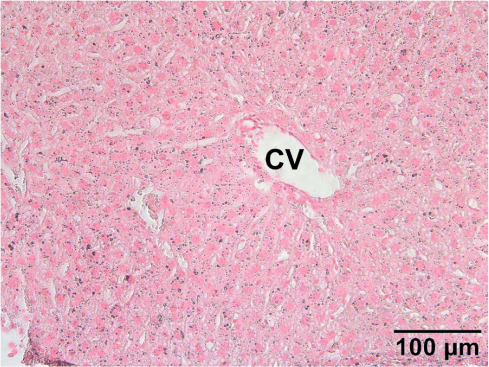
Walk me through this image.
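The hepatocytes are polygonal cells with dense pink cytoplasm. They are arranged in cords running out from the vein, separated by narrow sinusoids. Fine dark specks are sprinkled through the cytoplasm, but none are blue. The central vein is an open lumen lined by a thin wall, and smaller vessels are visible nearby.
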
